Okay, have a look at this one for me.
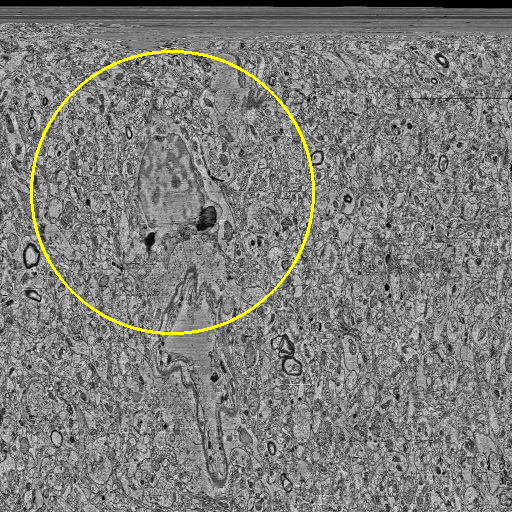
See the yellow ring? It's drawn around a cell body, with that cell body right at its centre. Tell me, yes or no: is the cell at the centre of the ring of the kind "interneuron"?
No, it belongs to another kind.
